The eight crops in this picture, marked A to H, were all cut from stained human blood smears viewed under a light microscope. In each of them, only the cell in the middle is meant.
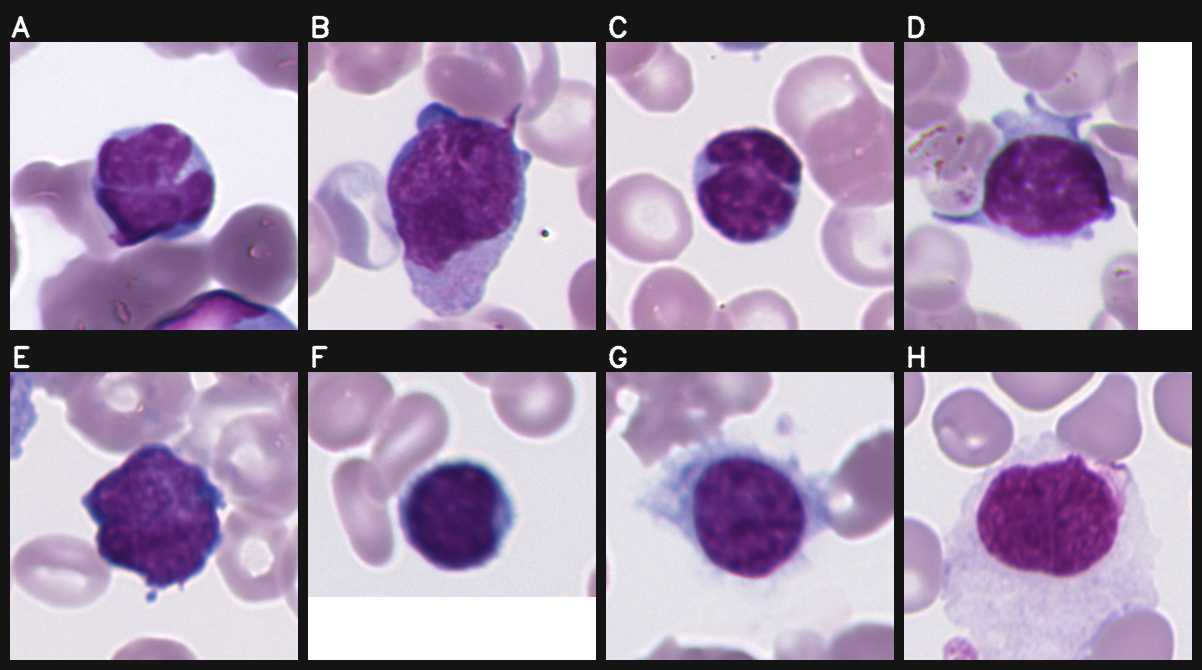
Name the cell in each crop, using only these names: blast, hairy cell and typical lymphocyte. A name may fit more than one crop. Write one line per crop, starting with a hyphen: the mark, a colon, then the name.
- A: typical lymphocyte
- B: blast
- C: typical lymphocyte
- D: typical lymphocyte
- E: blast
- F: typical lymphocyte
- G: hairy cell
- H: hairy cell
